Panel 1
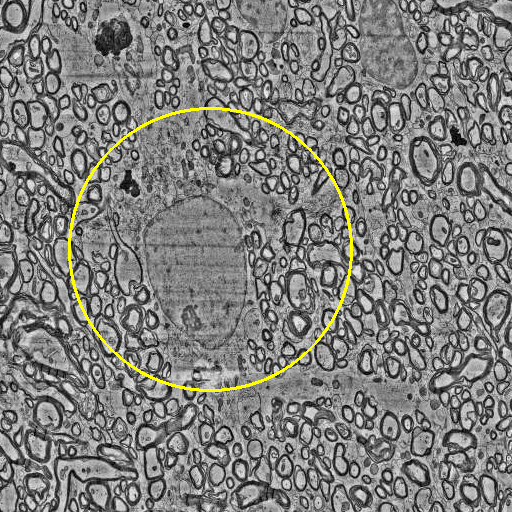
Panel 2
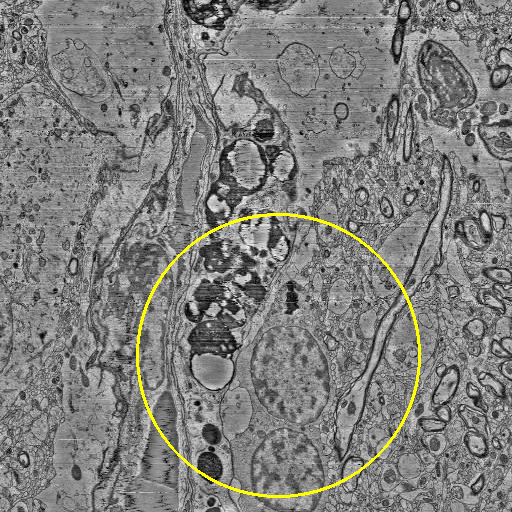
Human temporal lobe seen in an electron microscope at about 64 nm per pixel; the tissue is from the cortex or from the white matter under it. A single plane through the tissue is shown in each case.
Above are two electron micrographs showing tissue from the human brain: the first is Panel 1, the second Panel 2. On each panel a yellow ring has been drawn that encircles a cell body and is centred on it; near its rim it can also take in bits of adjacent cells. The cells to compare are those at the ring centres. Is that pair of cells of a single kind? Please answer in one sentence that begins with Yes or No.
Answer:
No, the ring-centred cells of Panel 1 and Panel 2 belong to two kinds.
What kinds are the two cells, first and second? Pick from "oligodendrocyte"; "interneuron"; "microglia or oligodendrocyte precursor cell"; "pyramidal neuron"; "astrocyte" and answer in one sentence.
The second picture holds an oligodendrocyte in its ring, and the first holds an astrocyte.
